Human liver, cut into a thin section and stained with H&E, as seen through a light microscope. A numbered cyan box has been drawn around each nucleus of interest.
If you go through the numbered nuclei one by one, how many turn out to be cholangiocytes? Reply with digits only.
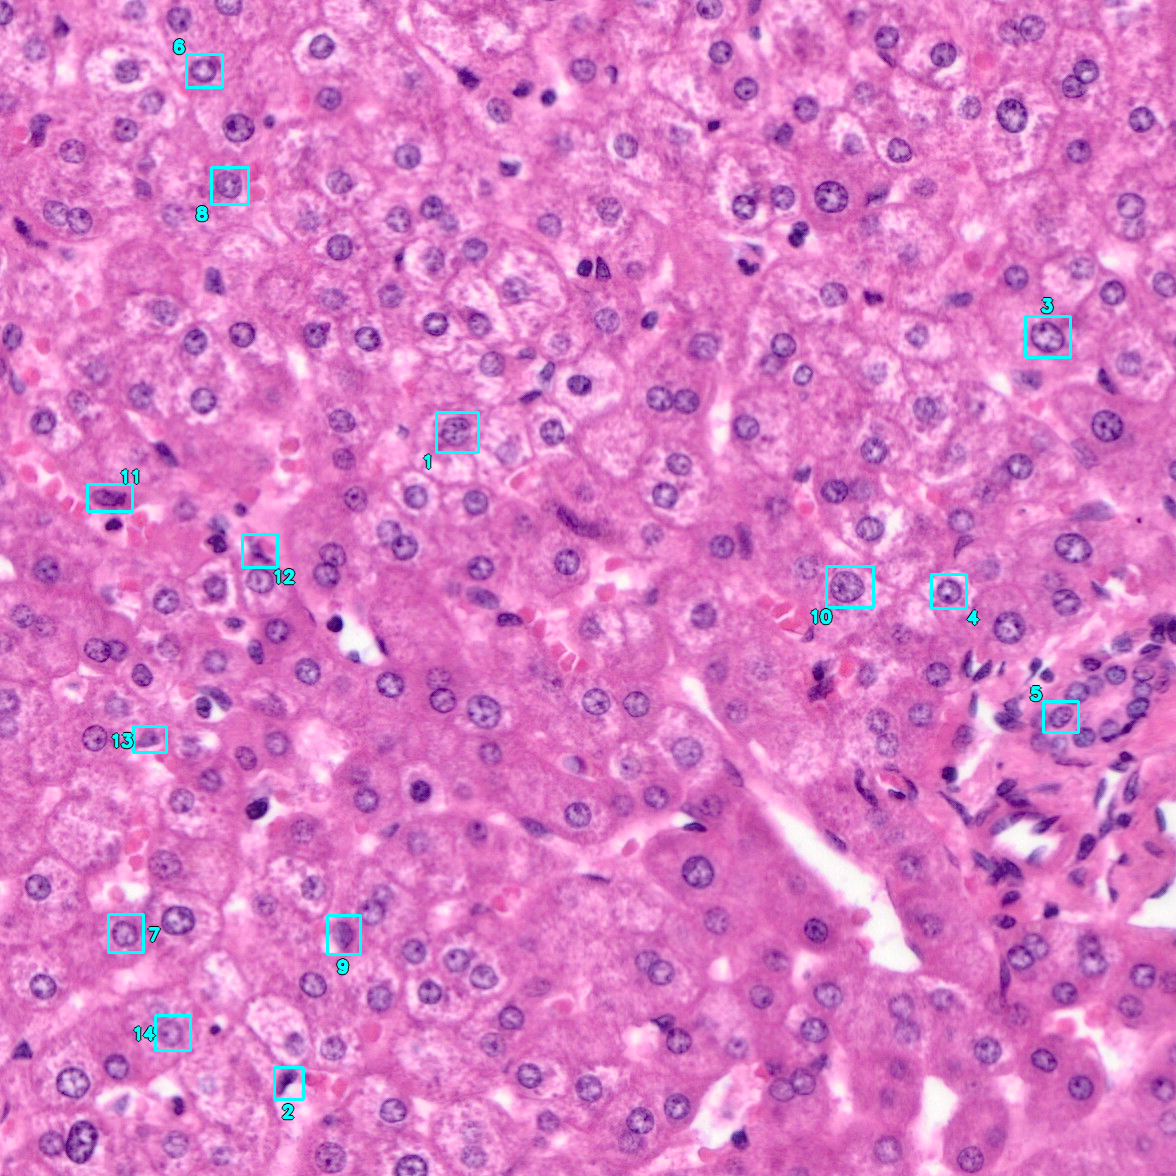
1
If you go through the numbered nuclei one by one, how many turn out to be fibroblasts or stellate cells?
1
